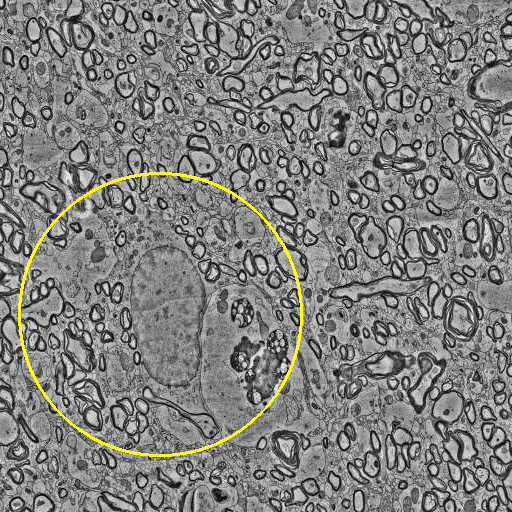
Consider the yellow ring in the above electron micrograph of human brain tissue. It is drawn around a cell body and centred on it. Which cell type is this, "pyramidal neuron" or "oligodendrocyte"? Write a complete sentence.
The cell in question is an oligodendrocyte.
